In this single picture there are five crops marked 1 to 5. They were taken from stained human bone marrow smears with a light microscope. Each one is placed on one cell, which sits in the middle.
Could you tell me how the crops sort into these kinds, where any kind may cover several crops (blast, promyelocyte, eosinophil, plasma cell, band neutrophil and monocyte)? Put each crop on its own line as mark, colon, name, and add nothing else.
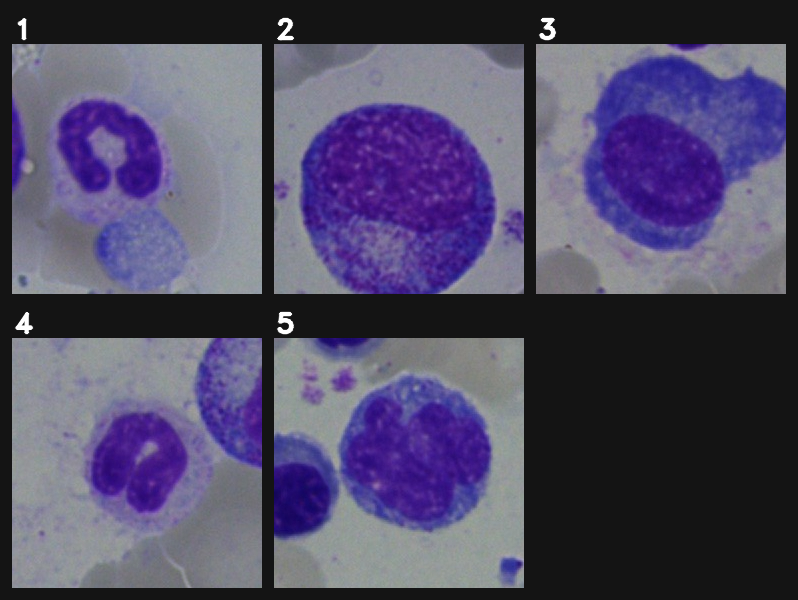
1: band neutrophil
2: promyelocyte
3: plasma cell
4: band neutrophil
5: monocyte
